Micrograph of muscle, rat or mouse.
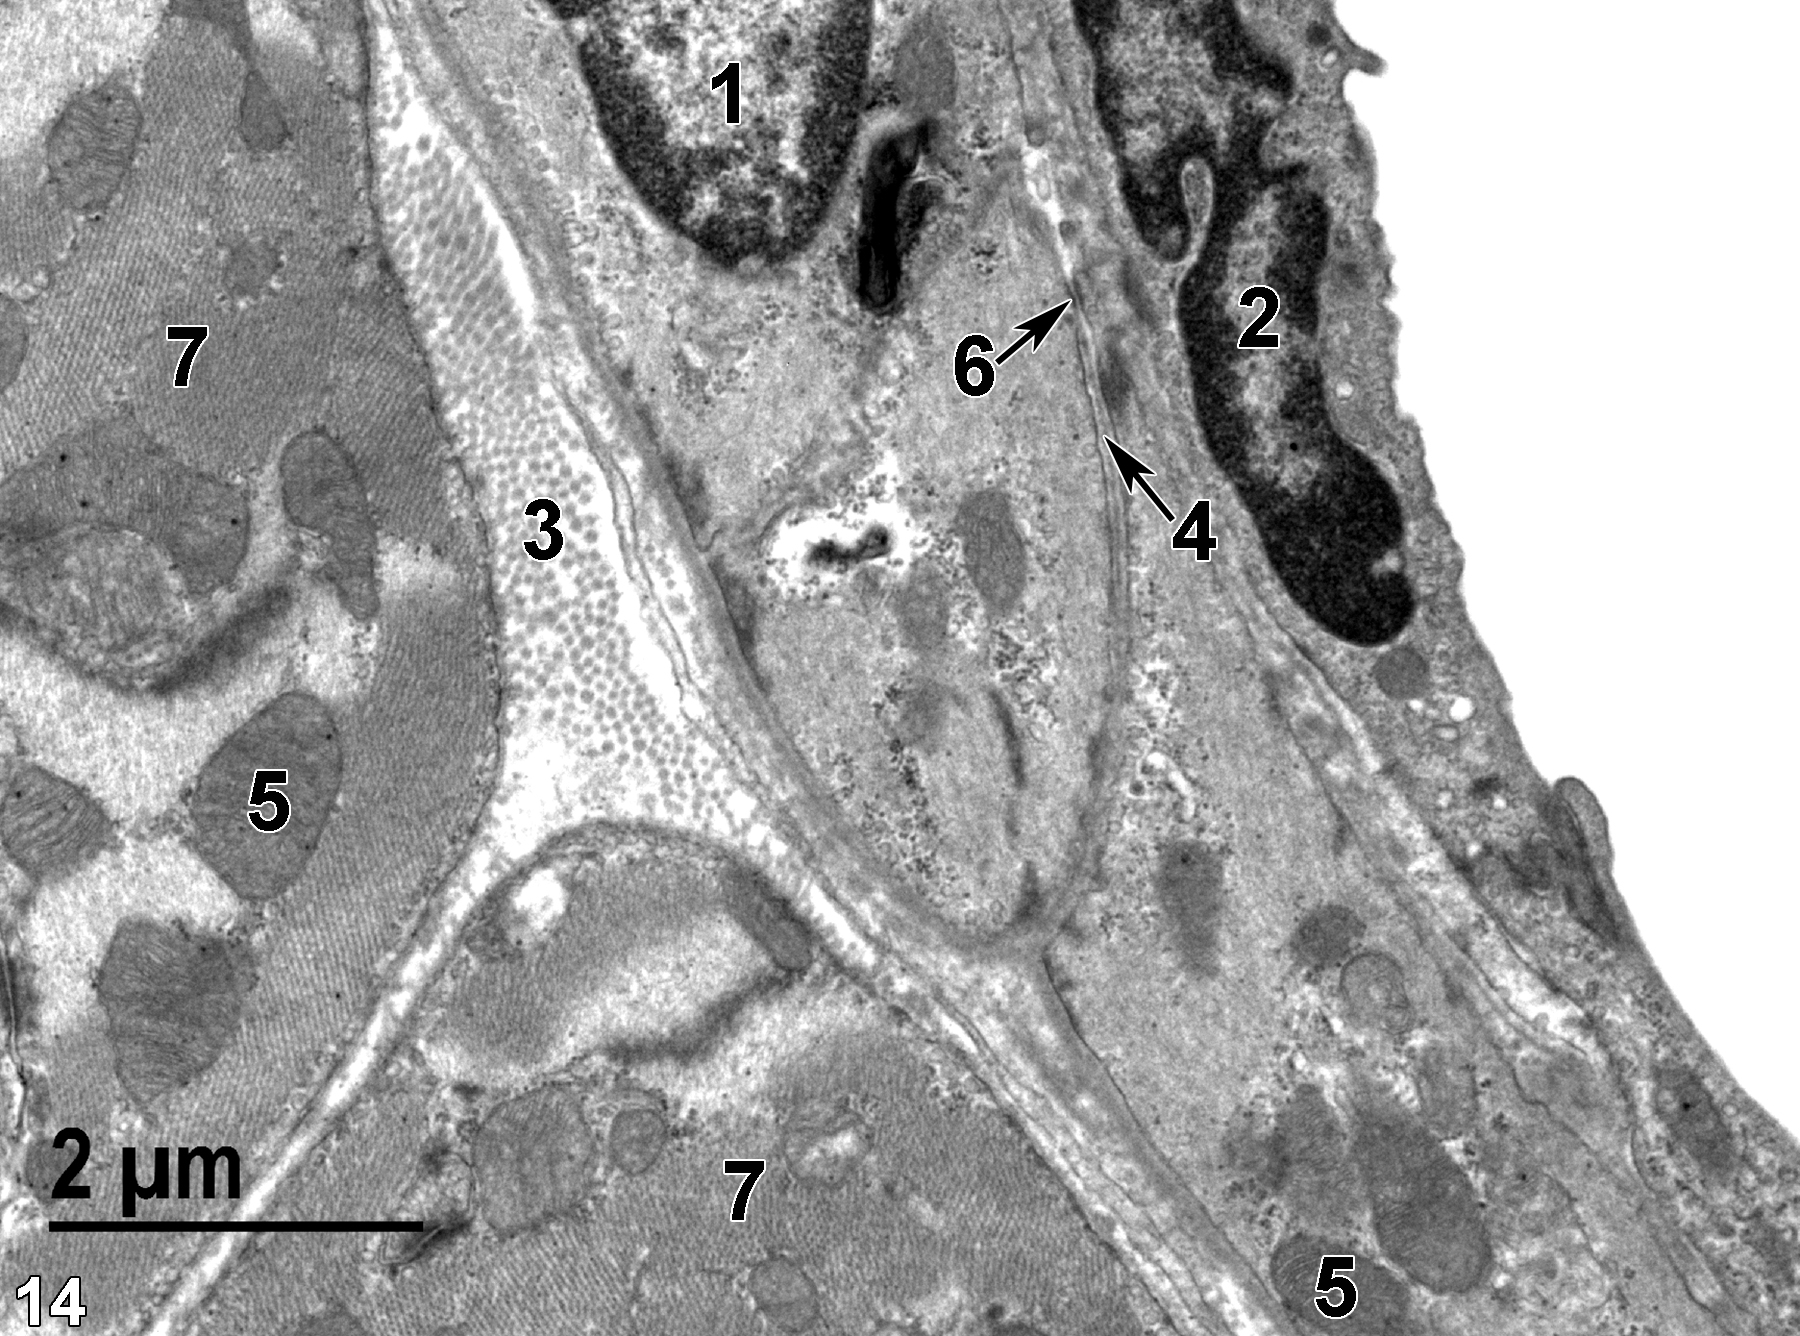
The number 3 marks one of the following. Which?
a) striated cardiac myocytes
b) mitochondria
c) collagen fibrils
c) collagen fibrils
